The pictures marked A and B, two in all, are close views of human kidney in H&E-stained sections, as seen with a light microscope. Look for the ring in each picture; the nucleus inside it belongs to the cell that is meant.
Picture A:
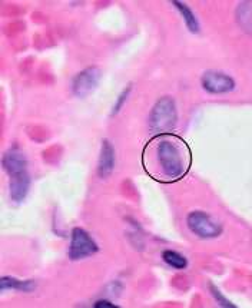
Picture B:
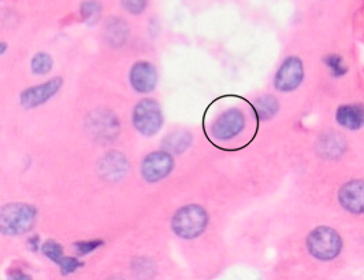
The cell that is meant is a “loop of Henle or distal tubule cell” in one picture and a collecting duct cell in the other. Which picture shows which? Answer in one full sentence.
Picture A is of a collecting duct cell, and picture B is of a “loop of Henle or distal tubule cell”.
